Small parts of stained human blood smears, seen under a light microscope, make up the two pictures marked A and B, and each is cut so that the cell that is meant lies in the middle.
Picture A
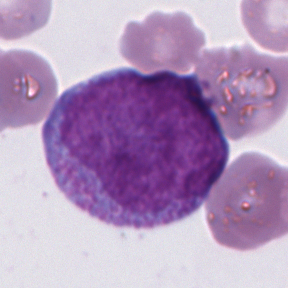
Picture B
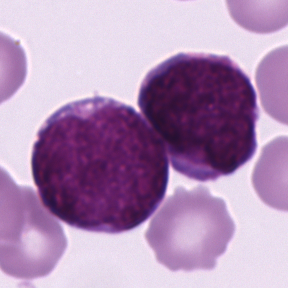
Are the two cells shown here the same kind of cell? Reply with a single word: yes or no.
no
